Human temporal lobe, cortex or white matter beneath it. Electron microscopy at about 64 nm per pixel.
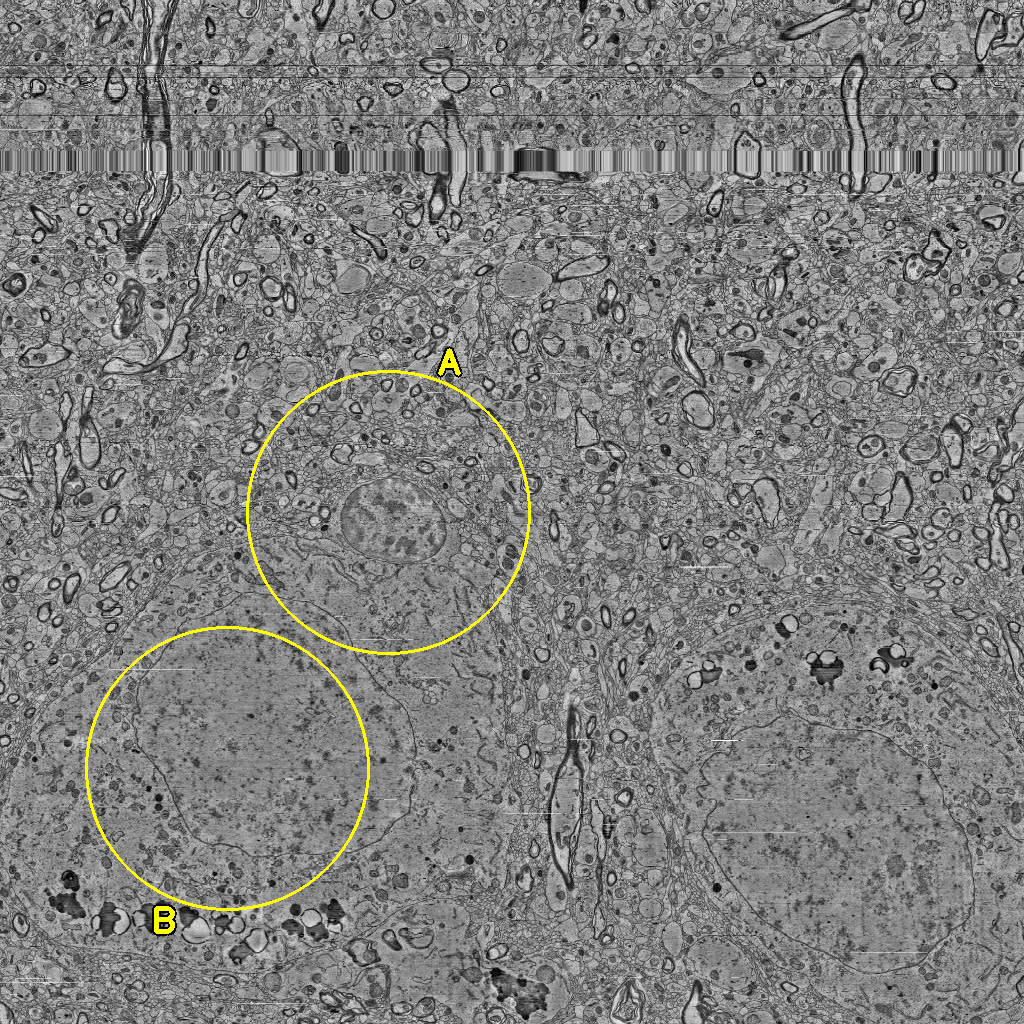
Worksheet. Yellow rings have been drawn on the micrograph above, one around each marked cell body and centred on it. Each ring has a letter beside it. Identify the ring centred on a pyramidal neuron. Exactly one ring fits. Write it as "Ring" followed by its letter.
Ring B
